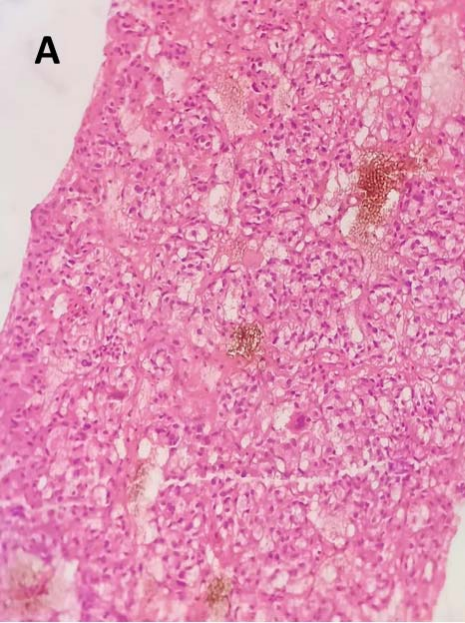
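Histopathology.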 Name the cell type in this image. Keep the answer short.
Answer: Polygonal cells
